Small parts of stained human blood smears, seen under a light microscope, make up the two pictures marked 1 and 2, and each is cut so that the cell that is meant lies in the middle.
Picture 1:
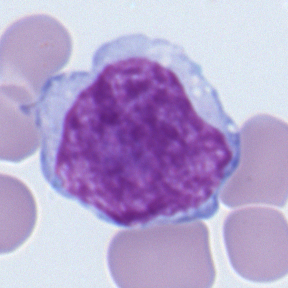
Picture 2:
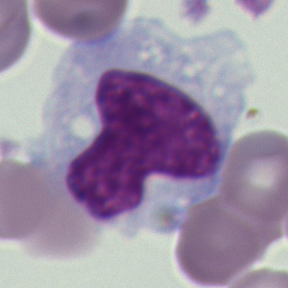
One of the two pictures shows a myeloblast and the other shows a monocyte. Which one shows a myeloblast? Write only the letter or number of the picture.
1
